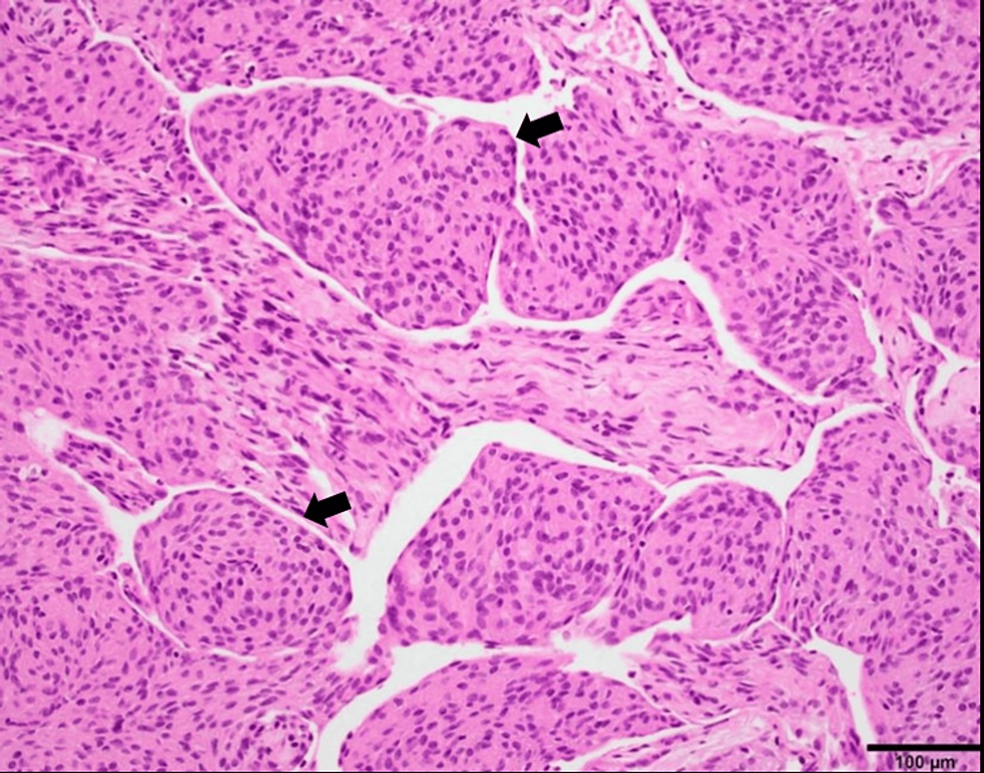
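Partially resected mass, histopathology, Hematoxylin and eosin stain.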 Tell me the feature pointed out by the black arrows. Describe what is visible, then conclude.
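Whorl formation. The arrows point at rounded nests of cells set off by narrow clear spaces. Within the lower nest, the elongated nuclei curve around a common centre.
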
